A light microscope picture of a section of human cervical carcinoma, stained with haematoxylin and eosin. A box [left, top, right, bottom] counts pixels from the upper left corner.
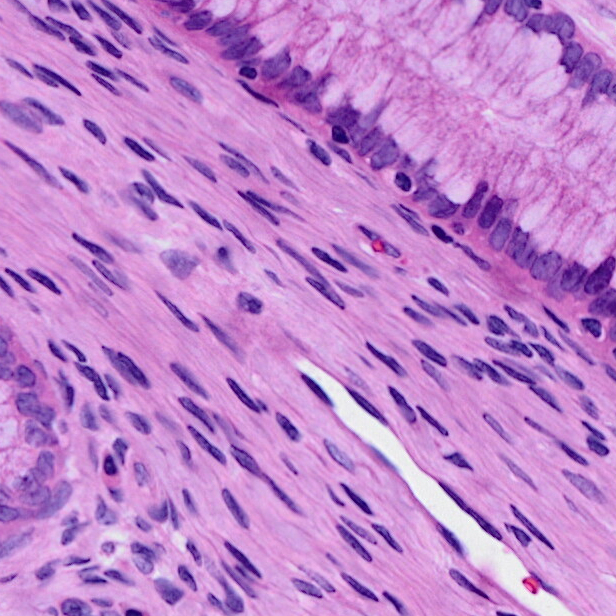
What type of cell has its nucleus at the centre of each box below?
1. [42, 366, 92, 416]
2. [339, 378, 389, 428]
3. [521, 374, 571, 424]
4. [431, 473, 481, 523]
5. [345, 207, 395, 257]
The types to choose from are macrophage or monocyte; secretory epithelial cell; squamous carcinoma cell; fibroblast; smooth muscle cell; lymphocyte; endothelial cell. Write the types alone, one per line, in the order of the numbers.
fibroblast
endothelial cell
fibroblast
endothelial cell
endothelial cell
